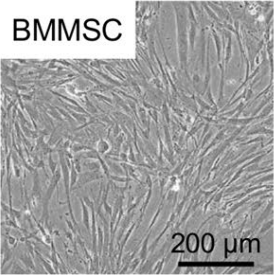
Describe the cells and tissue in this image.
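Elongated, spindle-shaped and somewhat flattened cells grow as a monolayer, aligned in crossing bundles and whorls. A few small bright rounded cells sit on top of them.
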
